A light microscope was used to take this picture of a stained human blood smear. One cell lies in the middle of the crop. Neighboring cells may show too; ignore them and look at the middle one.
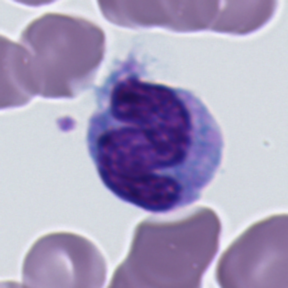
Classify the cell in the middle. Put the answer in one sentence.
In the central position of this crop, the cell is a monocyte.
